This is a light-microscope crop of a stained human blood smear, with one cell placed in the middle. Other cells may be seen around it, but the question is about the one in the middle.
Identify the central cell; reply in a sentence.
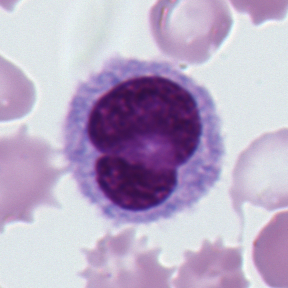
The cell at the central position in this crop is a hairy cell.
